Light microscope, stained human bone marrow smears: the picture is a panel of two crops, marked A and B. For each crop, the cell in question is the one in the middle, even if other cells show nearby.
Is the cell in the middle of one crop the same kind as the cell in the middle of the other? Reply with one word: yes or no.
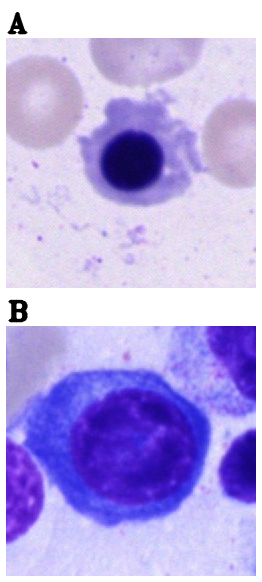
no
